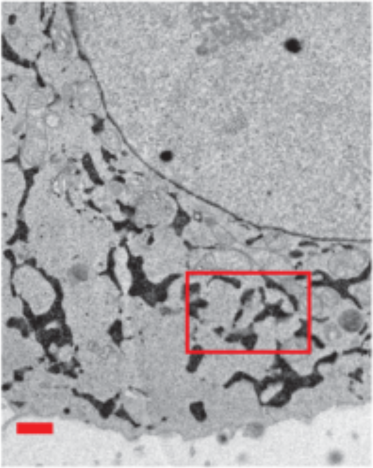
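The nucleus is bounded by a thin, smooth, darkly outlined envelope. Throughout the cytoplasm run dark, irregular profiles of the endoplasmic reticulum, many of them broad, branching and swollen rather than thin threads. Between them lie paler grey rounded organelles, some of which look like mitochondria. A red box marks a region of these dark profiles in the cytoplasm, and the cell edge with the surrounding space is visible at the bottom.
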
